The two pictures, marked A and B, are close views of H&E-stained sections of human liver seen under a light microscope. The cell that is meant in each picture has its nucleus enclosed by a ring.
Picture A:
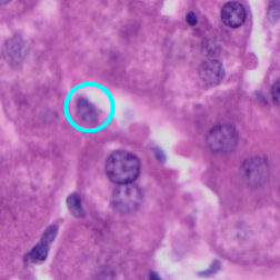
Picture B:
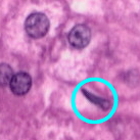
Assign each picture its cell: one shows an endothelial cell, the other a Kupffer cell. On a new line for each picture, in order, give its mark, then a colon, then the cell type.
A: Kupffer cell
B: endothelial cell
